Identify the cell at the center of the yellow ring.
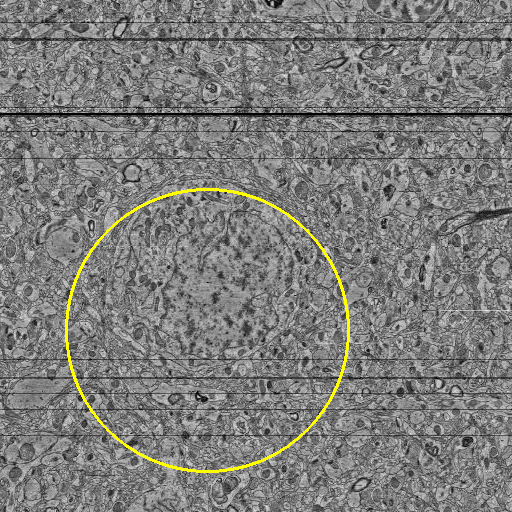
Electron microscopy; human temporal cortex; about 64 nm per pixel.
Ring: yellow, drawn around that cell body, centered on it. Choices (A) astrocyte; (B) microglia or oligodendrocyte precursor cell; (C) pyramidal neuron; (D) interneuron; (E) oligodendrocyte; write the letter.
D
